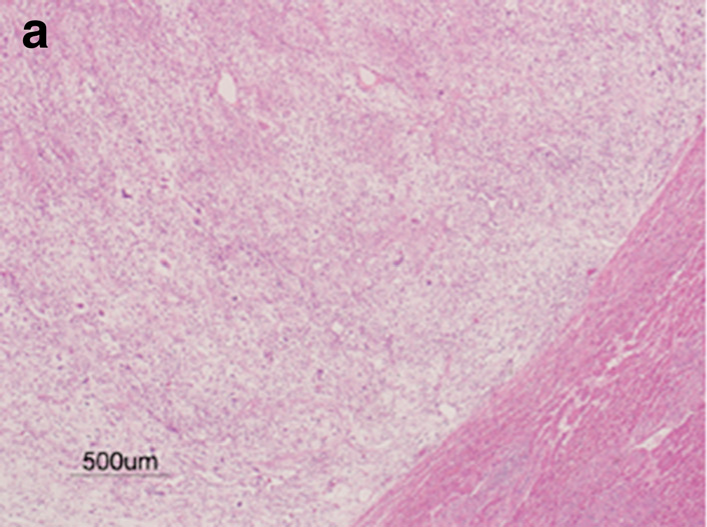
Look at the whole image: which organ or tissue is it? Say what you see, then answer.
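Most of the field is a pale, loose, lightly stained matrix. The pale area is sharply set off from a denser, deeper pink tissue at the lower right. The answer: myxoid stroma.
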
